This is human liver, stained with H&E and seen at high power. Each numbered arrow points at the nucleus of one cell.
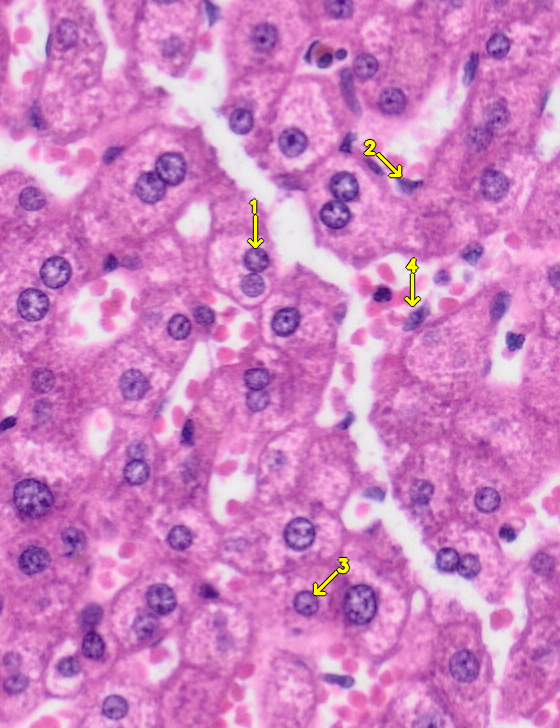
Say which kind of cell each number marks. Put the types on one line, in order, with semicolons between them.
hepatocyte; endothelial cell; hepatocyte; Kupffer cell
